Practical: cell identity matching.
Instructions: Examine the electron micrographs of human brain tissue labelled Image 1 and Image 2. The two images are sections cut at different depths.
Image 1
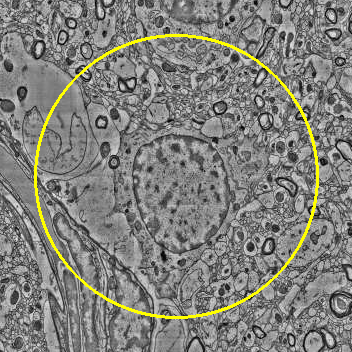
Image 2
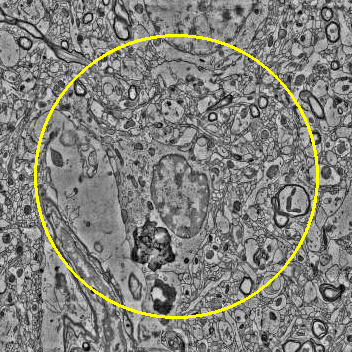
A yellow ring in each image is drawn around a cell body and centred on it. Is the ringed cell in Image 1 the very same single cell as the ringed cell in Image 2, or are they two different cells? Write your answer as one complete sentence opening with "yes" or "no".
Yes, only one cell is involved, and both rings mark it.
